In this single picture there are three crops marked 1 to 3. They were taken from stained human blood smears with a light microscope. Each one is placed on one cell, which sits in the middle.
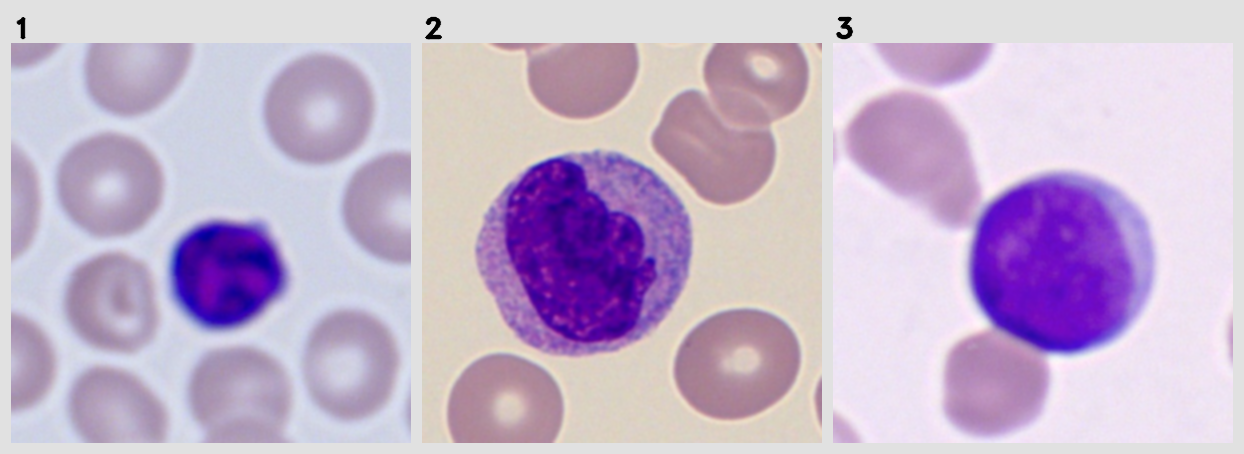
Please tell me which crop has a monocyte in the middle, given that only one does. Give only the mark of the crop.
2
